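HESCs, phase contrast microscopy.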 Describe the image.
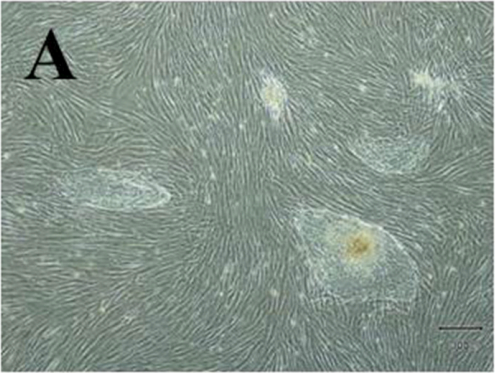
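Set within this layer are several separate compact, flat colonies made of small, tightly packed cells whose individual borders are hard to distinguish. The colonies have sharp, bright refractile edges that set them apart from the surrounding elongated cells; their shapes range from oval to irregular. One colony at lower right has a small brownish, denser centre. A few round bright cells lie scattered on the surface.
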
